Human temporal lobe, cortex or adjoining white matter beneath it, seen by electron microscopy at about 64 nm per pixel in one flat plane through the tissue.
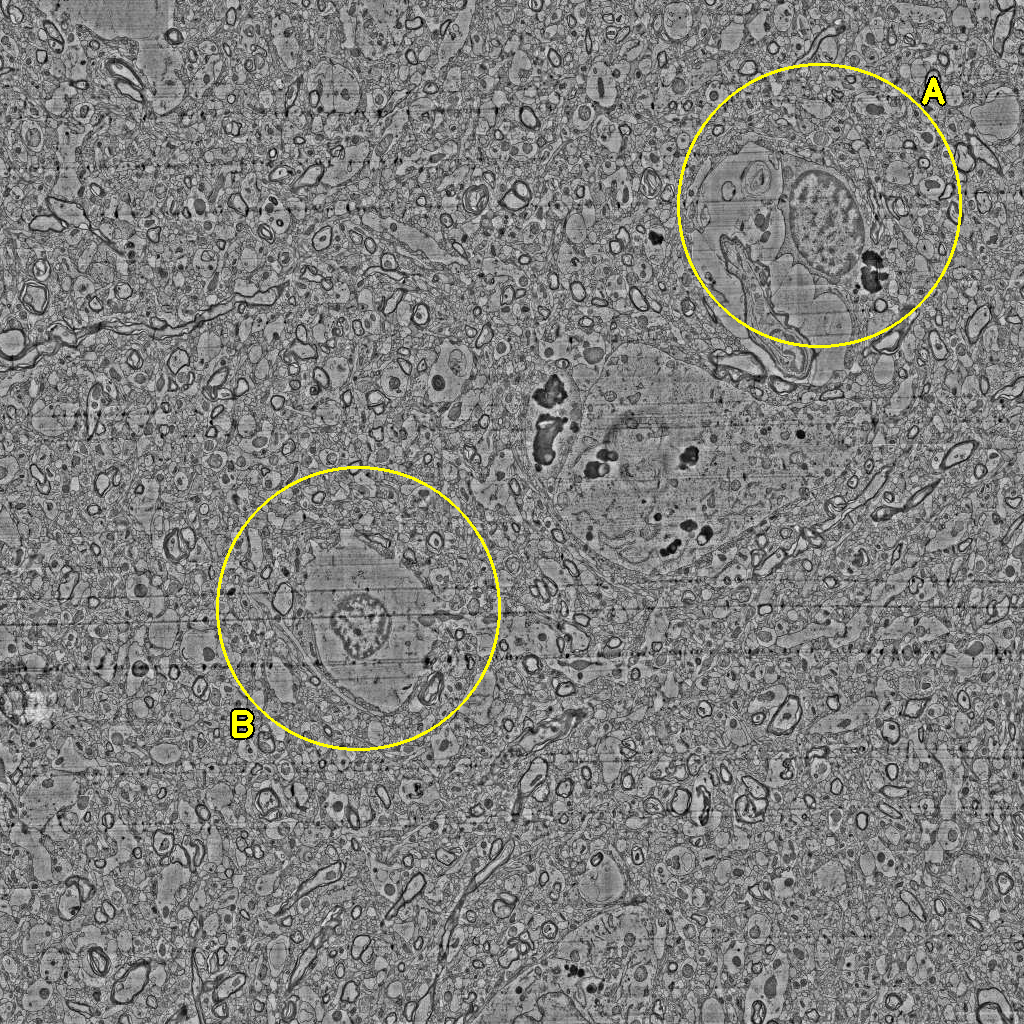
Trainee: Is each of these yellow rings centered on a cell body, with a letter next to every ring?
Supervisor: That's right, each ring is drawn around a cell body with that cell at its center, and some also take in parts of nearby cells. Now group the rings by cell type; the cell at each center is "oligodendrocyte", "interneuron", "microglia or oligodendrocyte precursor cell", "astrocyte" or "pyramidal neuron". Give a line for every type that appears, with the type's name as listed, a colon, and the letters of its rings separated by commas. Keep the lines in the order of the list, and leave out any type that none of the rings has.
oligodendrocyte: A
astrocyte: B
